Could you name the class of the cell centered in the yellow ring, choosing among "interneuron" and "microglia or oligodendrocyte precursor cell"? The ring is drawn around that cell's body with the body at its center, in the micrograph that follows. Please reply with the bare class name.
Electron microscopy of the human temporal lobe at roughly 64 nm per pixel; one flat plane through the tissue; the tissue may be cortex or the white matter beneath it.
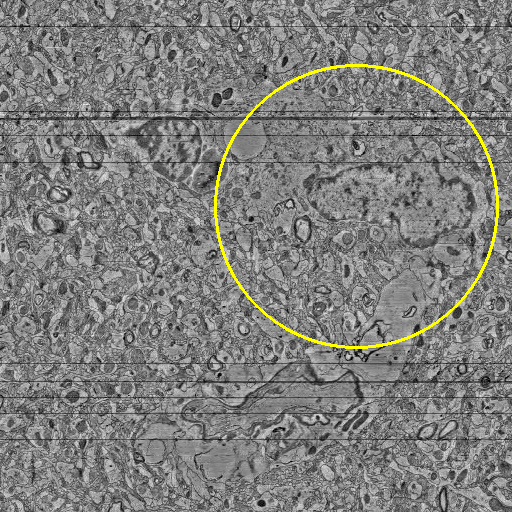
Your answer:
microglia or oligodendrocyte precursor cell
